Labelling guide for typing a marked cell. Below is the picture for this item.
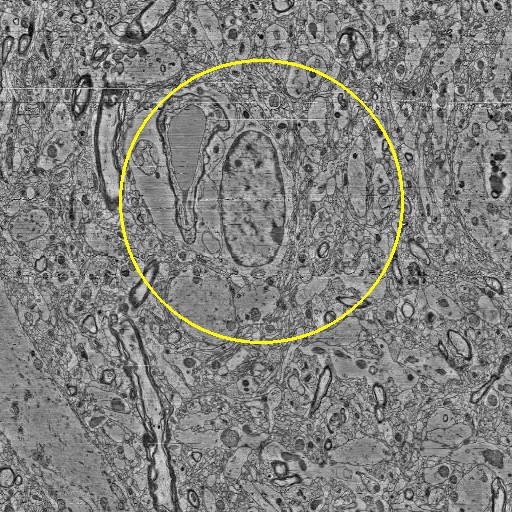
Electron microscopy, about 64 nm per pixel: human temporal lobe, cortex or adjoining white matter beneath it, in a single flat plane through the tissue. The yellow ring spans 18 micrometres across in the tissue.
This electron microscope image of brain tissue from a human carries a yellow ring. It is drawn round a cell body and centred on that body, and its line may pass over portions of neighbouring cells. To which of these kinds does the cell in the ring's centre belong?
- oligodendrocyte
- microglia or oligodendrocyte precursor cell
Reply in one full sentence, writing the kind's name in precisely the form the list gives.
Here we have a microglial cell or oligodendrocyte precursor cell at the centre of the yellow ring in the picture.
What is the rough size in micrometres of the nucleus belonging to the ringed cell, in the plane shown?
Roughly 9 micrometres by 4 micrometres, so the nucleus is clearly longer than it is wide in this plane.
